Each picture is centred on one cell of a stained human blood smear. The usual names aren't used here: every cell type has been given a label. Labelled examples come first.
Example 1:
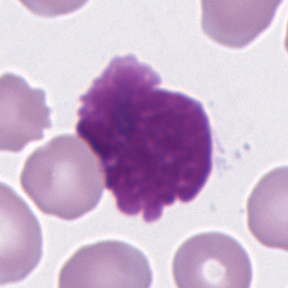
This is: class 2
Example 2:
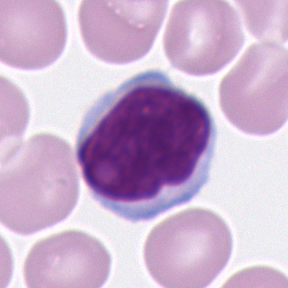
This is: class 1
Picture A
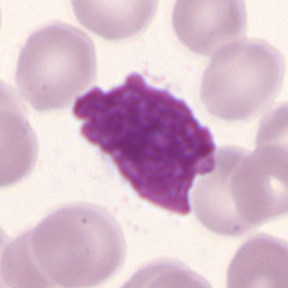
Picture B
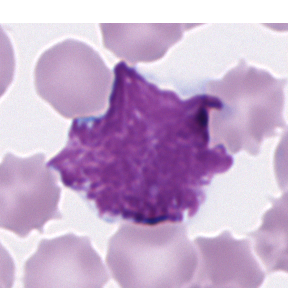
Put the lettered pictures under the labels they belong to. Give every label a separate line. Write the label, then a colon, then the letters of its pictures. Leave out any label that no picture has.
class 2: A, B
